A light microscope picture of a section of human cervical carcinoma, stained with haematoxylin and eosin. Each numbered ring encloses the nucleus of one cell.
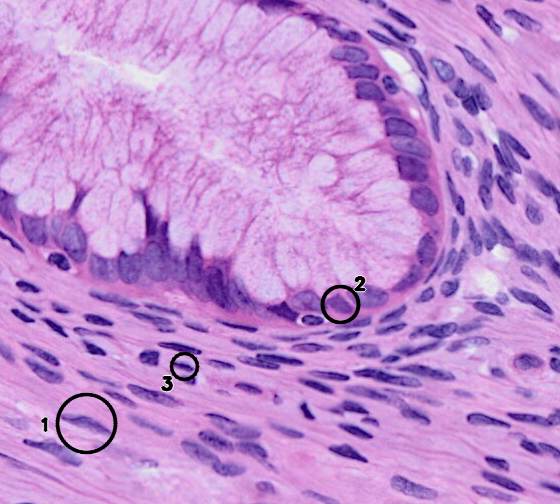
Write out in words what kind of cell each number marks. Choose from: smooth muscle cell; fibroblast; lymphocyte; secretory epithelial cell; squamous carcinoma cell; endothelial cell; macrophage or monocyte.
Cells 1 and 3 are fibroblasts. Cell 2 is a secretory epithelial cell.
